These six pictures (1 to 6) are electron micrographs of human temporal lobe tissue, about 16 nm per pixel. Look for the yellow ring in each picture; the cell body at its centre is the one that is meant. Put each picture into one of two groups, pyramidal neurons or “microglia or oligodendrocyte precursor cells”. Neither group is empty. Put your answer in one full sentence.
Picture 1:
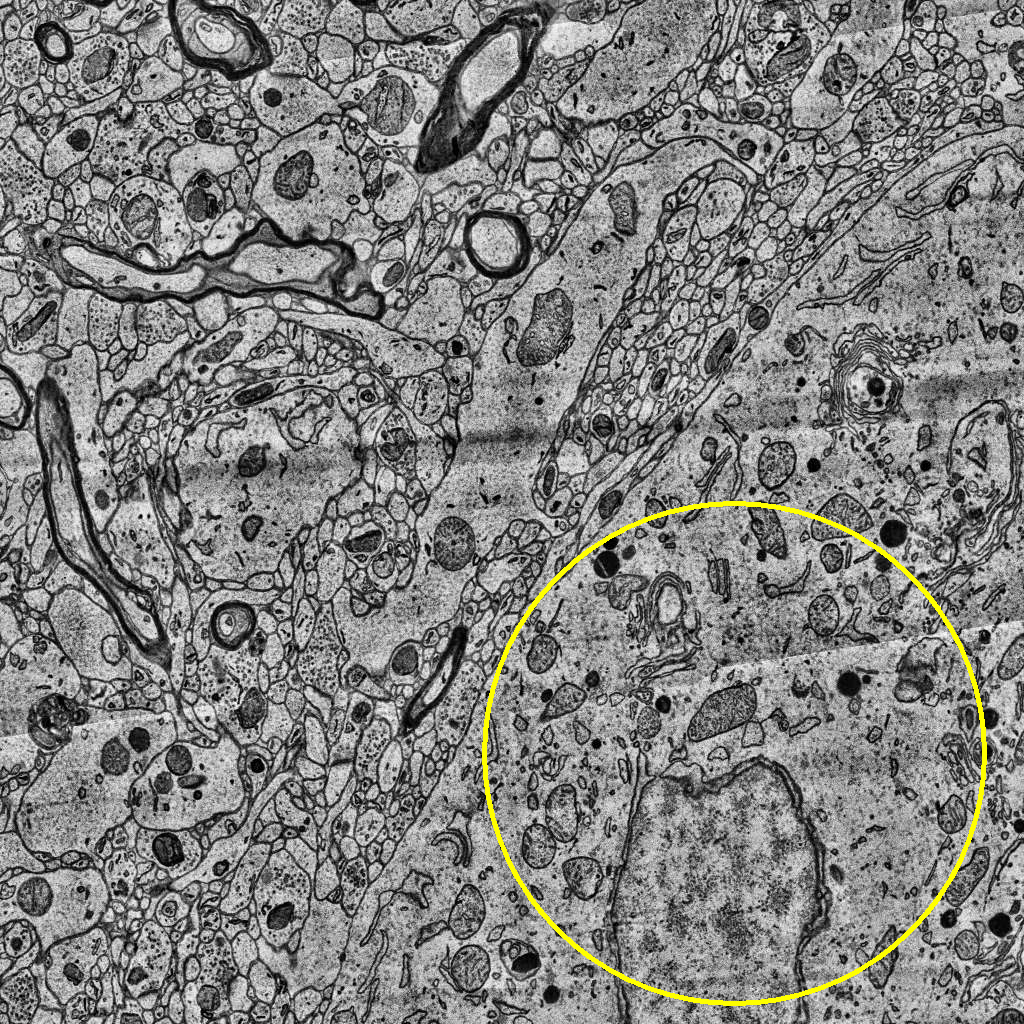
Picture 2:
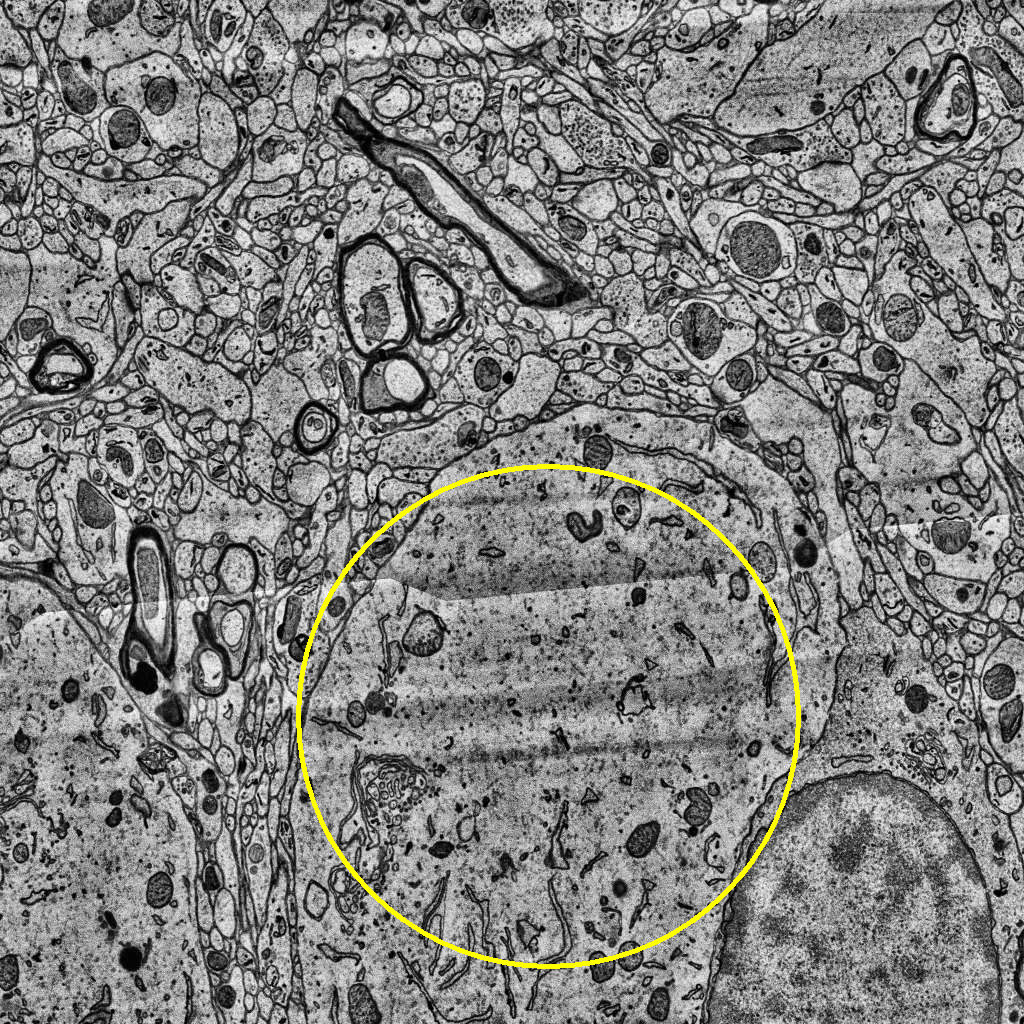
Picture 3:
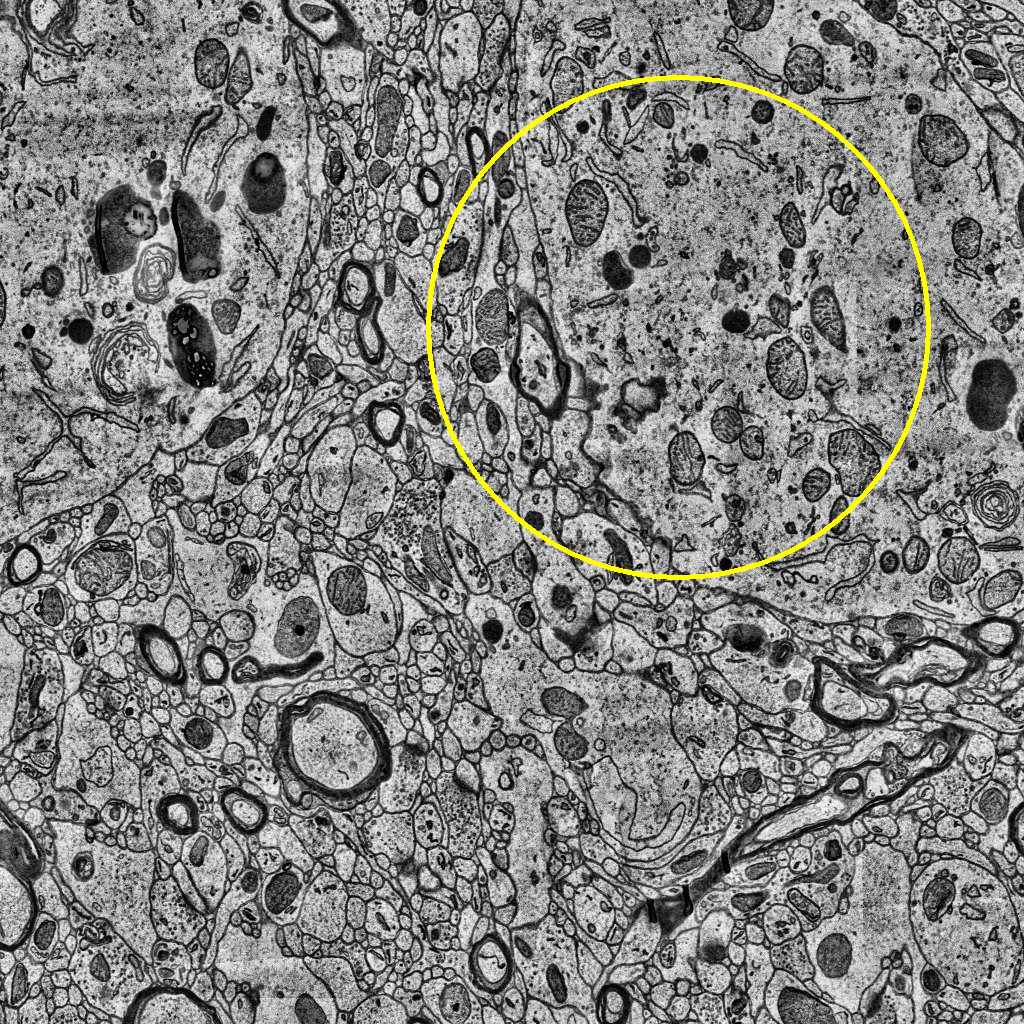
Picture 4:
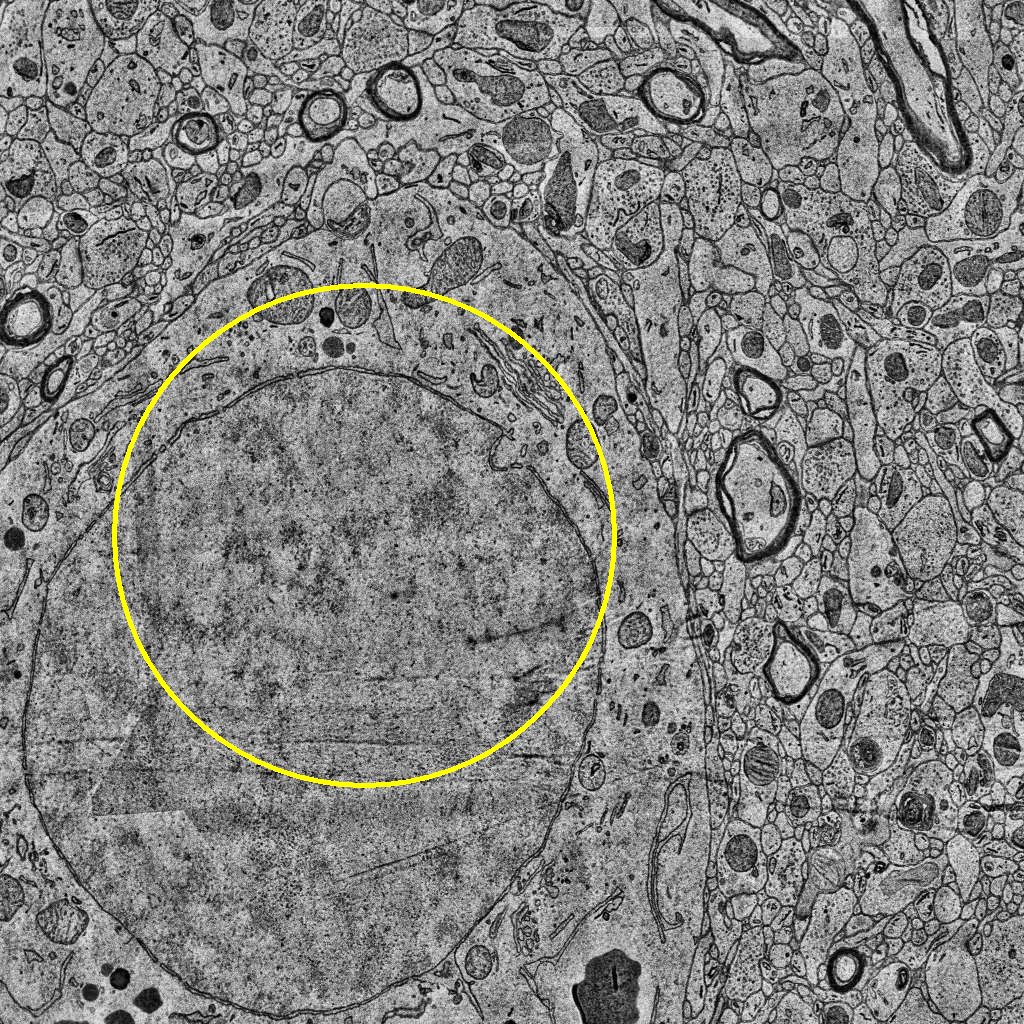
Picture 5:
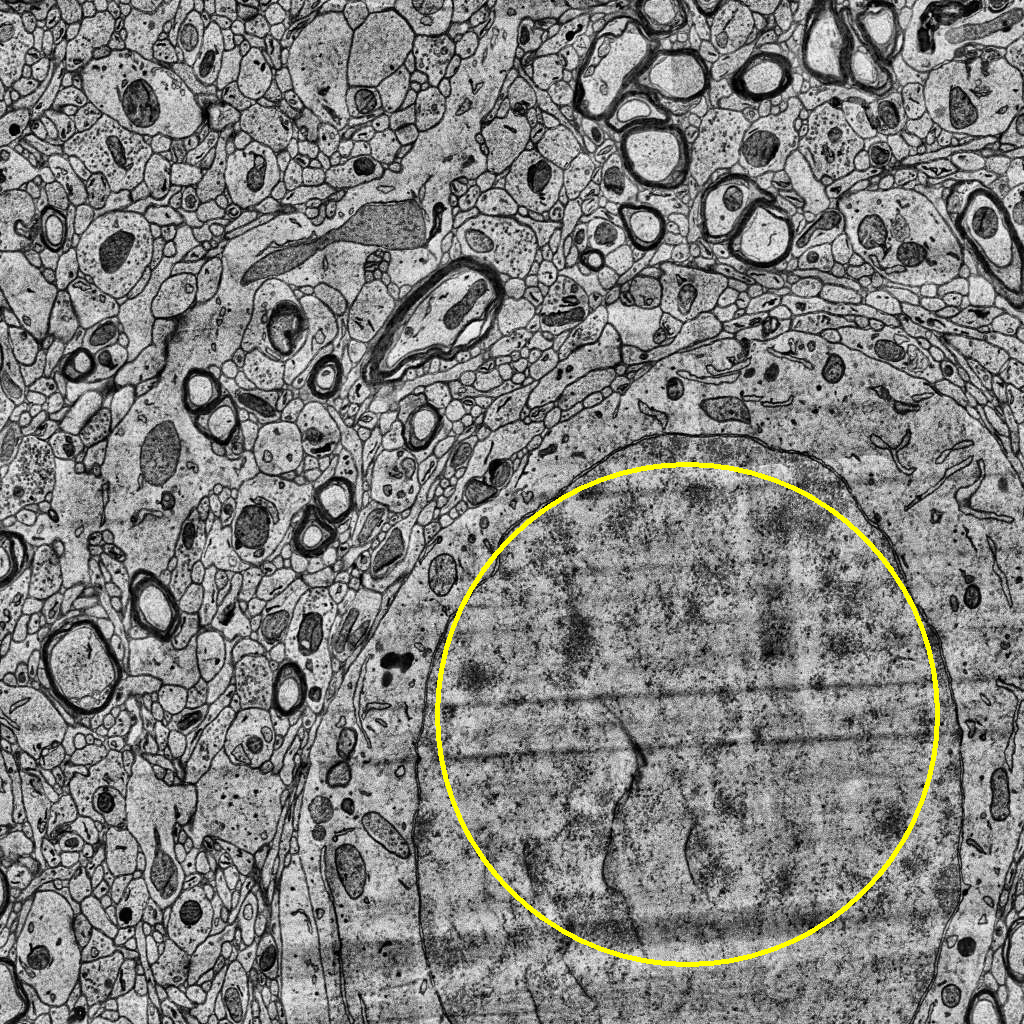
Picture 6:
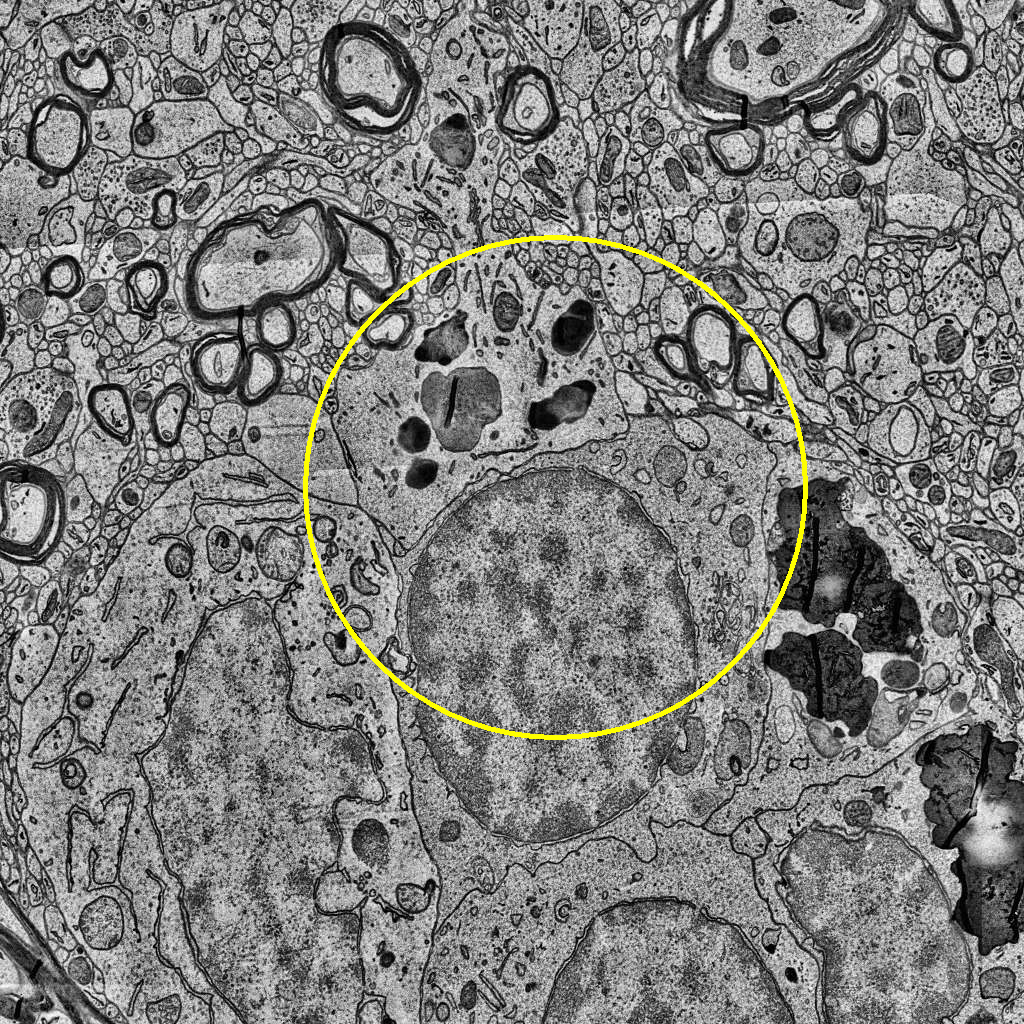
Pictures 1, 2, 4 and 5 show pyramidal neurons, and pictures 3 and 6 show “microglia or oligodendrocyte precursor cells”.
